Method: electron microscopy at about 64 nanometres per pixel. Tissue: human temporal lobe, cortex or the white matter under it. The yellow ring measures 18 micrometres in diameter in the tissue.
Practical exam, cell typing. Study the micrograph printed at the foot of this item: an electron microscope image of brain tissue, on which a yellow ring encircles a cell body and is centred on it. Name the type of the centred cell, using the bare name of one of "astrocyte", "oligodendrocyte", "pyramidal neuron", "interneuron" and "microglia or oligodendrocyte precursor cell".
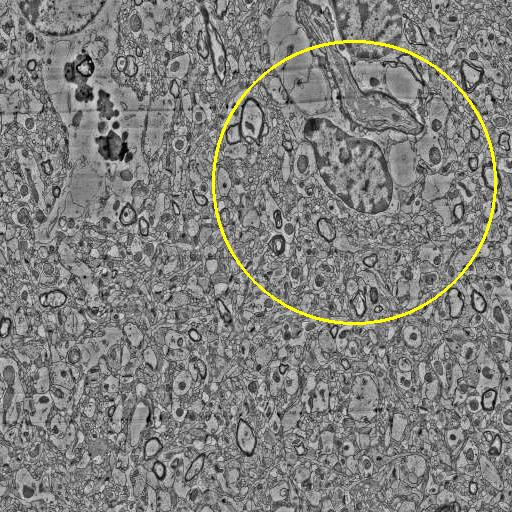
microglia or oligodendrocyte precursor cell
